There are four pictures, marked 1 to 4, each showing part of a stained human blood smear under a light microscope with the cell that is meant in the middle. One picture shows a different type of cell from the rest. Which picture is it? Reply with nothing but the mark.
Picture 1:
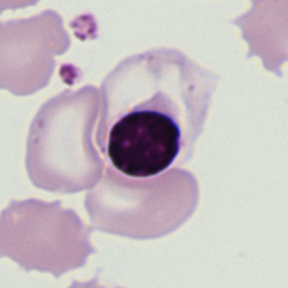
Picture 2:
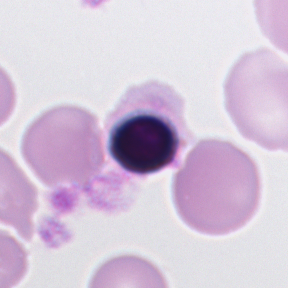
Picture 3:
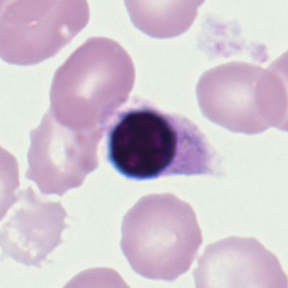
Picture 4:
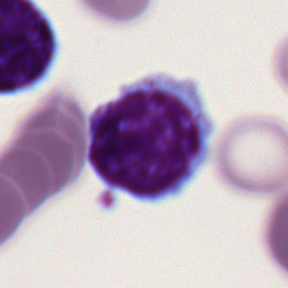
4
